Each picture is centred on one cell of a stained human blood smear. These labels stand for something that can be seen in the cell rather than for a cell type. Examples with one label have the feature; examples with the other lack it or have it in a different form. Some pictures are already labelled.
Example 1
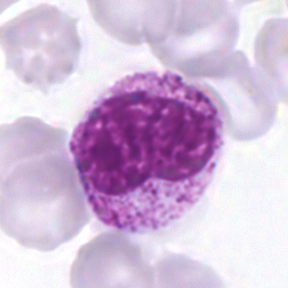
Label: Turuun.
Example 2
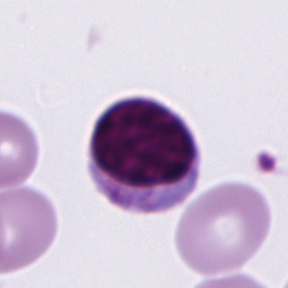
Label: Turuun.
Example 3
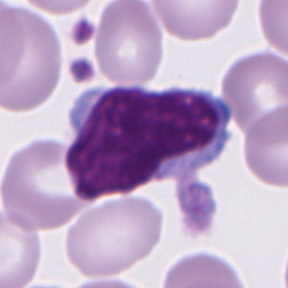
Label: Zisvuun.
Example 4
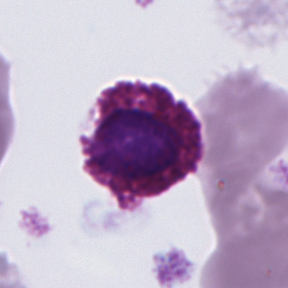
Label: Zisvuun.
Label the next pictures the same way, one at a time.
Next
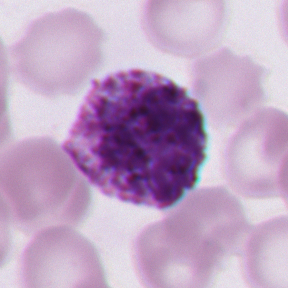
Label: Zisvuun.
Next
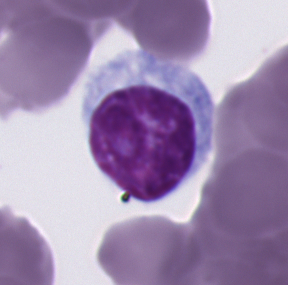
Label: Turuun.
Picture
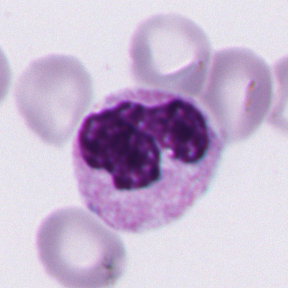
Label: Turuun.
